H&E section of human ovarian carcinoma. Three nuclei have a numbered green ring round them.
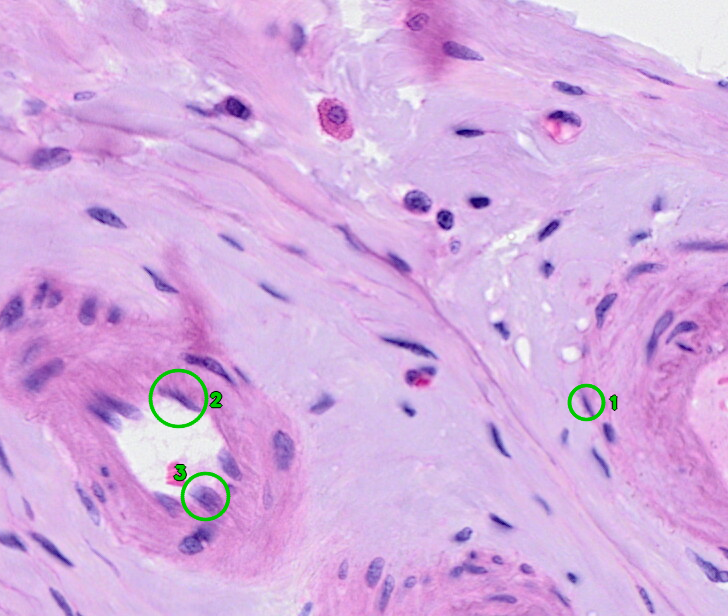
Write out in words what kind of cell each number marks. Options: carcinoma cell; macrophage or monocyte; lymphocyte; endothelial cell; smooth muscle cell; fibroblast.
Cell 1 is a smooth muscle cell, cell 2 is an endothelial cell and cell 3 is an endothelial cell.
